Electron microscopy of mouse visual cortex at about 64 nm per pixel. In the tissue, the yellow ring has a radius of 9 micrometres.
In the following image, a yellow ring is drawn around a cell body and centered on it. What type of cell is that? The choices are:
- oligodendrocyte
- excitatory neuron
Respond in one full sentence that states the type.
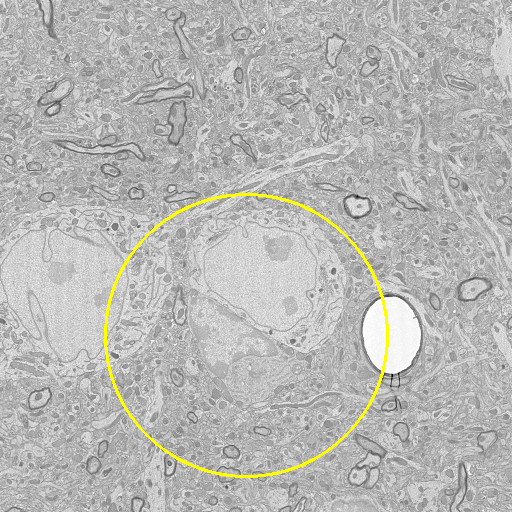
The cell at the center of the yellow ring in the image is an oligodendrocyte.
